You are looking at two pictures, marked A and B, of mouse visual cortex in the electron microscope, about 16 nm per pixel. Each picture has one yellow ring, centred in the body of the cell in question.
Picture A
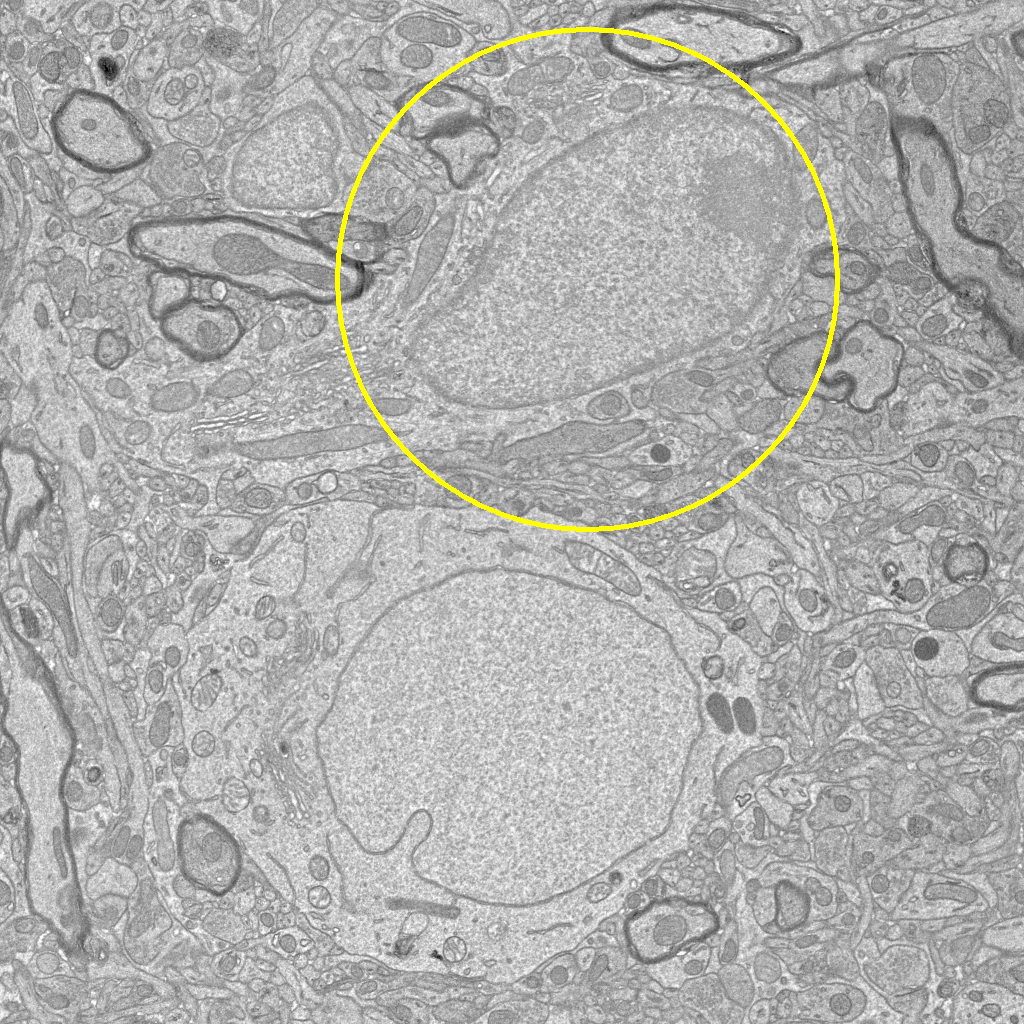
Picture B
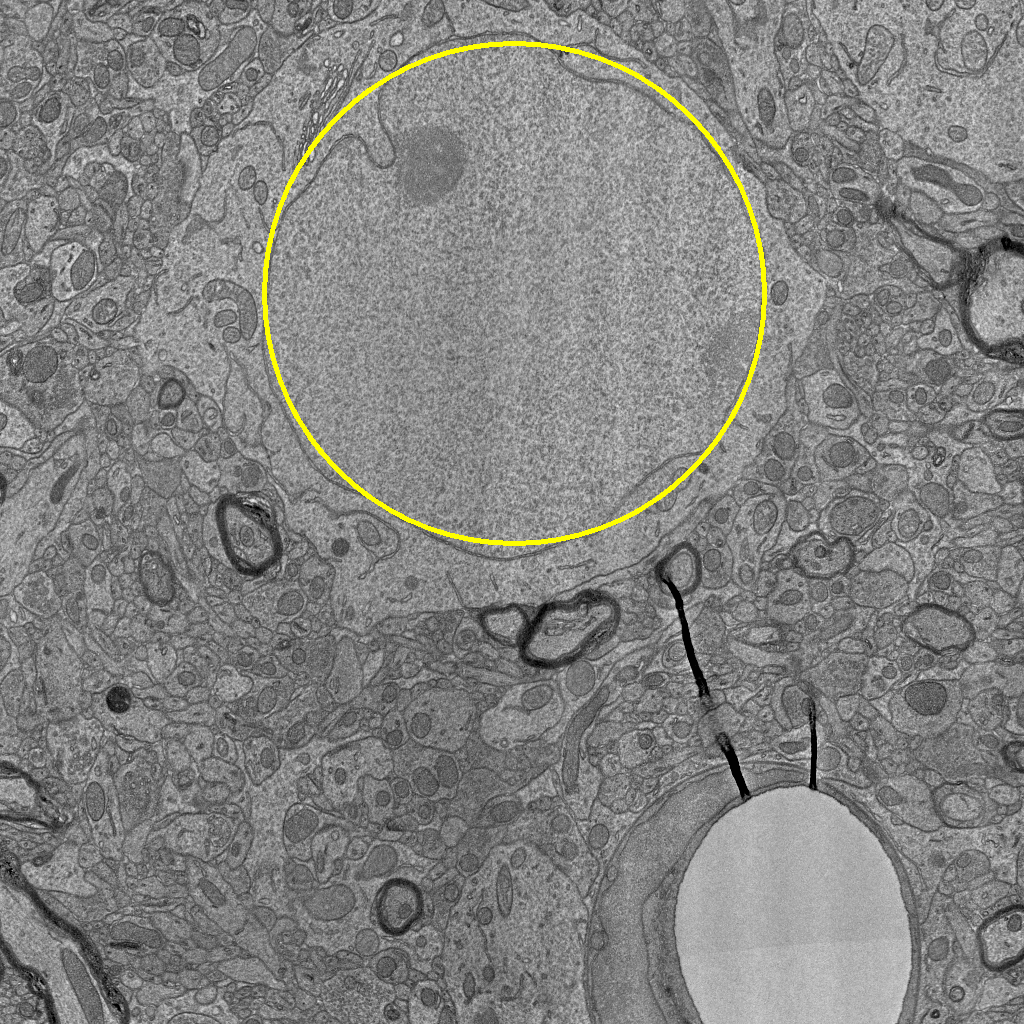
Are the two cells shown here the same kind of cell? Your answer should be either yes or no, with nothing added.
no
